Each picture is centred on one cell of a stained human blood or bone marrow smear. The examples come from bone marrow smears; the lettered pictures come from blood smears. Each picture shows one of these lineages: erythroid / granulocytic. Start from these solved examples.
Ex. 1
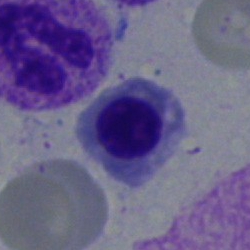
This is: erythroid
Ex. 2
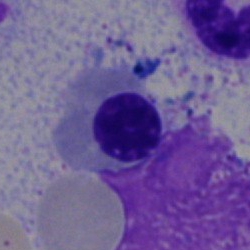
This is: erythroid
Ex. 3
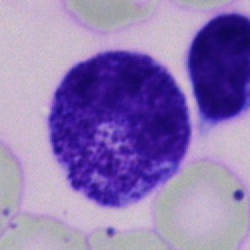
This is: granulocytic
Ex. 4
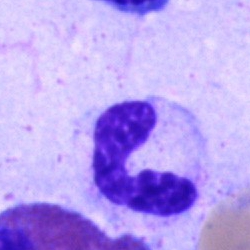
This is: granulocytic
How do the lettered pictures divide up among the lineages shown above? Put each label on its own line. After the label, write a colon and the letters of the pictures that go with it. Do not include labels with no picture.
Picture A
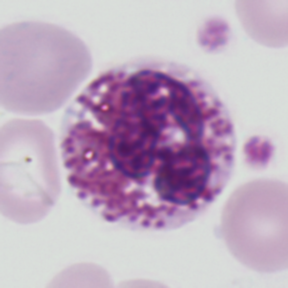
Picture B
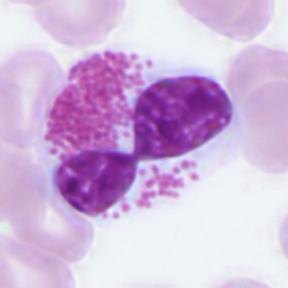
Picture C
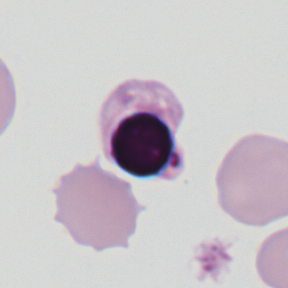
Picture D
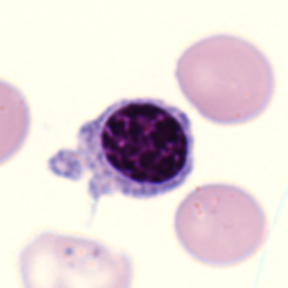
erythroid: C, D
granulocytic: A, B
